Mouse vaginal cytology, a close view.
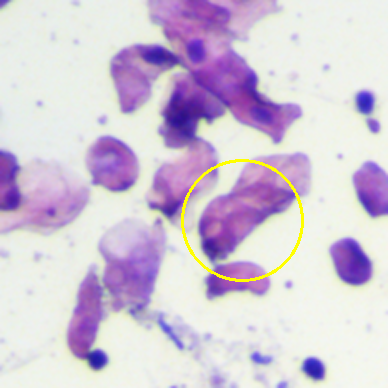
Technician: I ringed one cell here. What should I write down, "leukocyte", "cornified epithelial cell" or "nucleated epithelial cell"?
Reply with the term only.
cornified epithelial cell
